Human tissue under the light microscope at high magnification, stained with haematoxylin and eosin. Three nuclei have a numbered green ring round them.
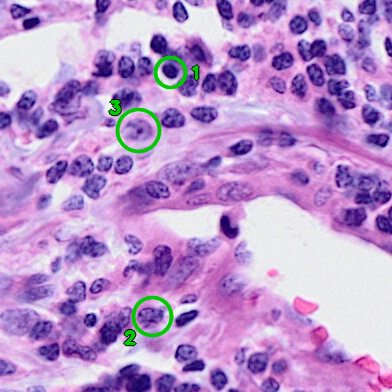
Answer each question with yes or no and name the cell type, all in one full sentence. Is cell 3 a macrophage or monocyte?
Yes, the cell carrying label 3 is a macrophage or monocyte.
